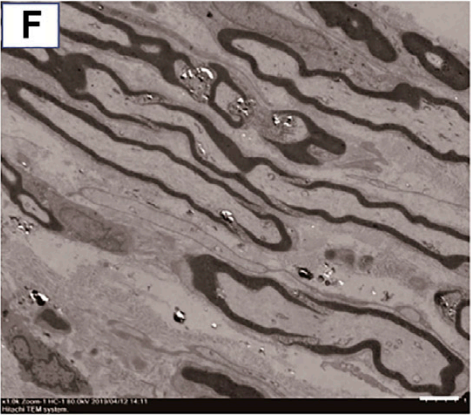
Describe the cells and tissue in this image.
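Electron micrograph of nerve fibres in which the myelin sheaths appear as thick black bands around paler grey axons. Instead of round rings, the sheaths are drawn out into long, narrow, flattened and sometimes folded shapes, with a few nuclei lying between them.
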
